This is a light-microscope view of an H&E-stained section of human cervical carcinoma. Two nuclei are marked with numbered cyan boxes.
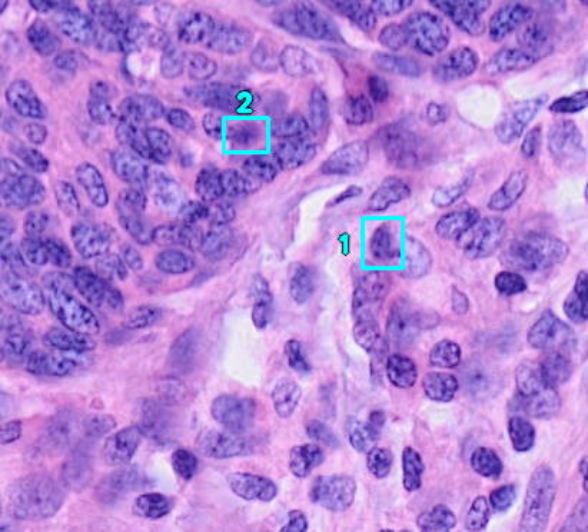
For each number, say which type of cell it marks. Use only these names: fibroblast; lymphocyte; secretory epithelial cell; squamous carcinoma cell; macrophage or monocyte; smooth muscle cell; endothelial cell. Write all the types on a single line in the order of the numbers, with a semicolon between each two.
lymphocyte; squamous carcinoma cell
